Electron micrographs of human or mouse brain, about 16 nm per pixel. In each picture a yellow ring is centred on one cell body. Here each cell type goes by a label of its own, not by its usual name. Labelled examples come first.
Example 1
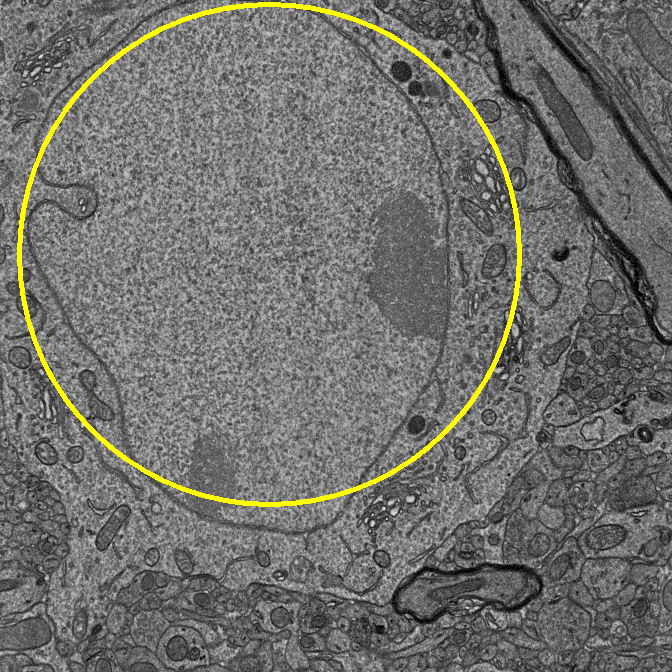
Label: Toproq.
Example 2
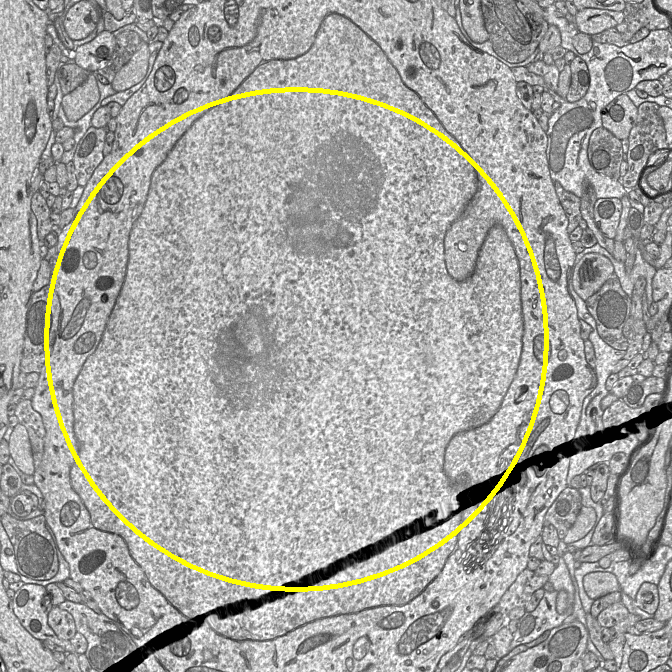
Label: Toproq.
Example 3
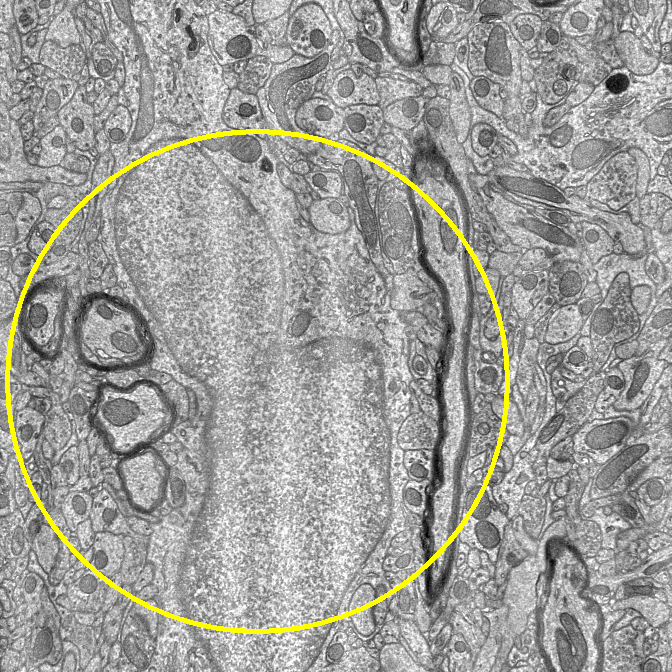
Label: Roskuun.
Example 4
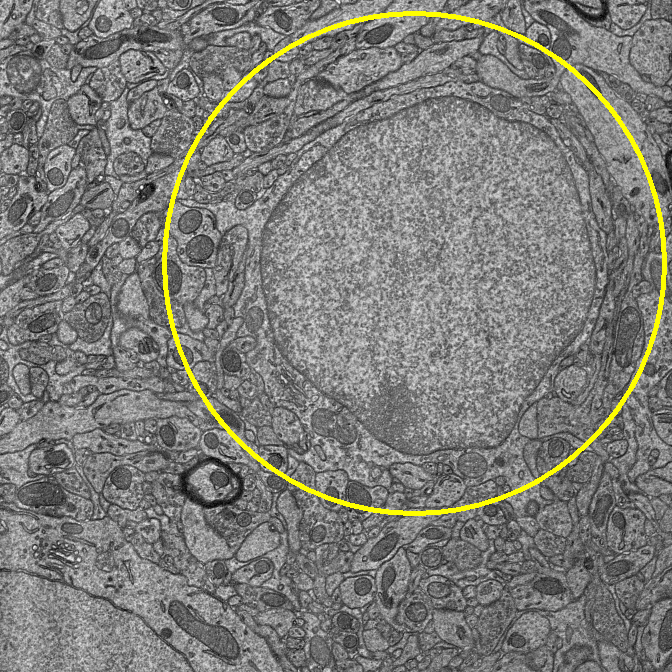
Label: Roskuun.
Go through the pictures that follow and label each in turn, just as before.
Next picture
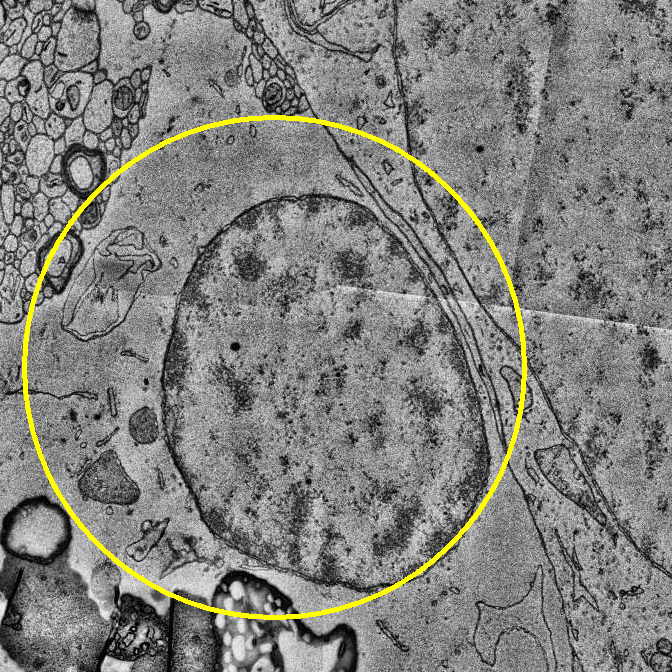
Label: Roskuun.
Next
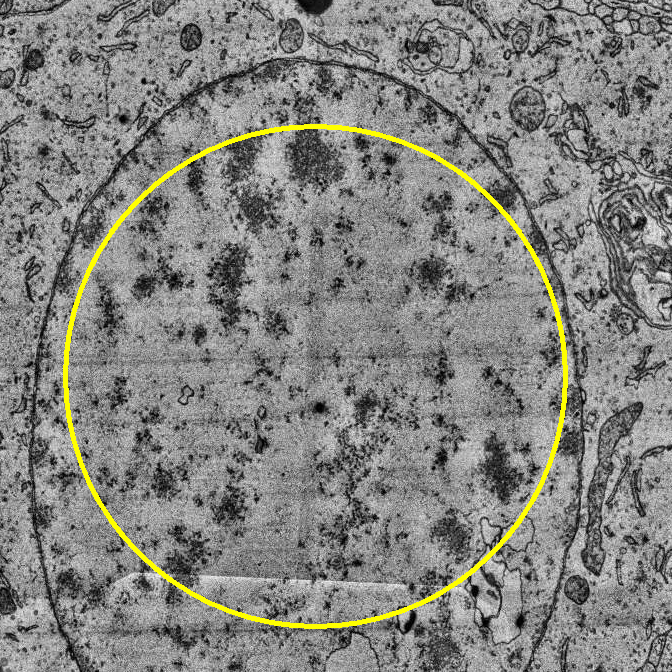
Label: Toproq.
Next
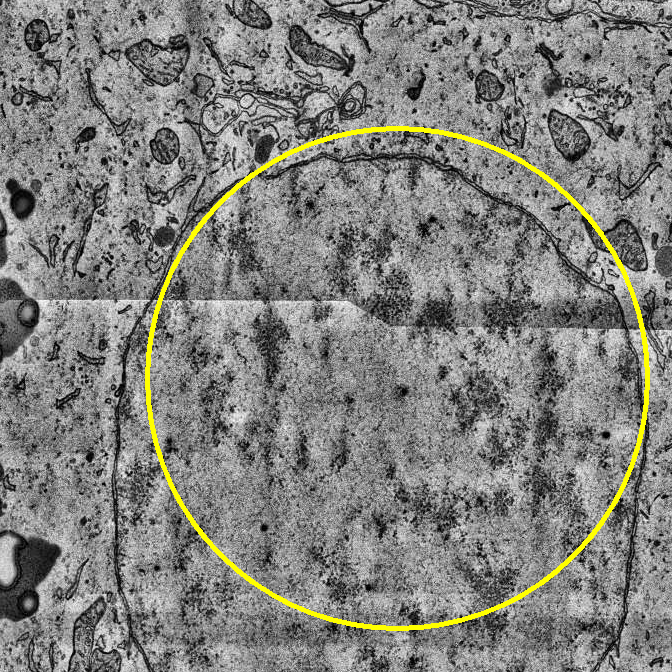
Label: Toproq.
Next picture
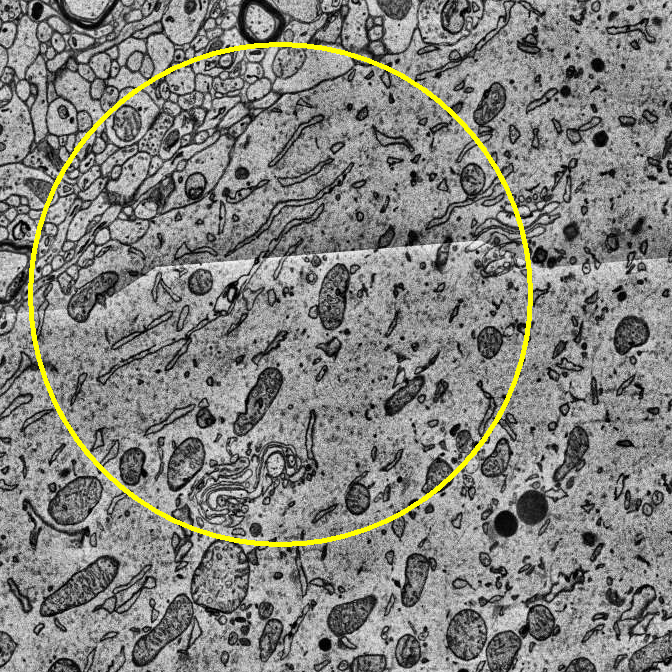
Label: Toproq.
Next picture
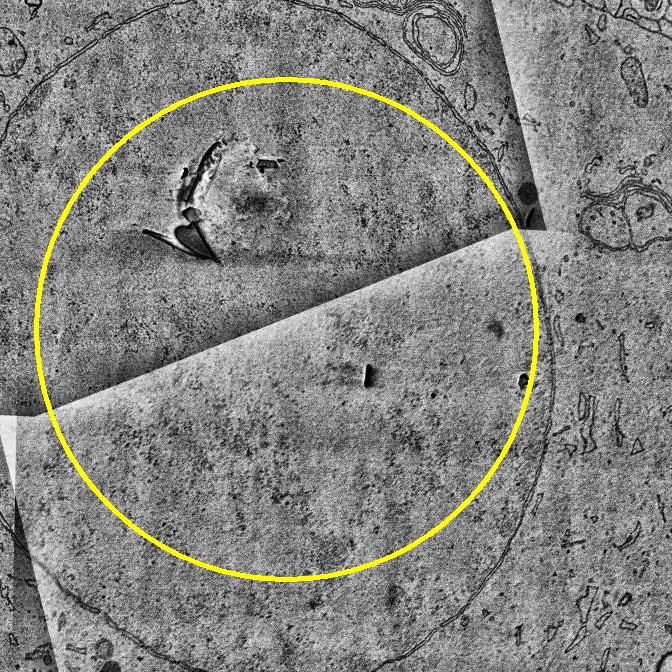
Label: Toproq.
